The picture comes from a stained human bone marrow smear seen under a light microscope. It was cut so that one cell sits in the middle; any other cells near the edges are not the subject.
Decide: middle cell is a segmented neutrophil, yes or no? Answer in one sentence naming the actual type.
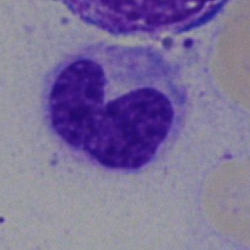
No, the cell in the middle should be called a band neutrophil instead of a segmented neutrophil.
